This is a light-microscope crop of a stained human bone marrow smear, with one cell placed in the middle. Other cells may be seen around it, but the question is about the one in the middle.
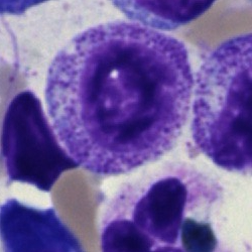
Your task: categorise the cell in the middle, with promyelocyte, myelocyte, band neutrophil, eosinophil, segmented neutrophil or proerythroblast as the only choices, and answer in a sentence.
Present in the middle of the crop is a myelocyte.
